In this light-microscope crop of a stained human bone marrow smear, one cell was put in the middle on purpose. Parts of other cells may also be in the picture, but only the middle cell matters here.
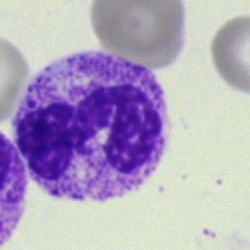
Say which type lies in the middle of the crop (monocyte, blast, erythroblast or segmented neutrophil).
segmented neutrophil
